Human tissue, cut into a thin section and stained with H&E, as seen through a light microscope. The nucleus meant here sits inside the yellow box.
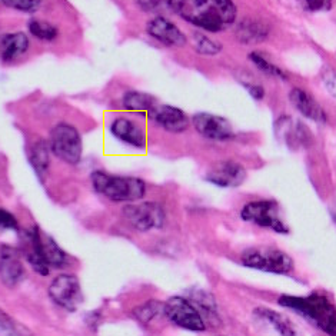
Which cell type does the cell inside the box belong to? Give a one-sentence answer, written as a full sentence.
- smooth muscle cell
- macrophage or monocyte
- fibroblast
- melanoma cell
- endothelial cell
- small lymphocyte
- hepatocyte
The identity of the cell inside the box is that of a melanoma cell.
